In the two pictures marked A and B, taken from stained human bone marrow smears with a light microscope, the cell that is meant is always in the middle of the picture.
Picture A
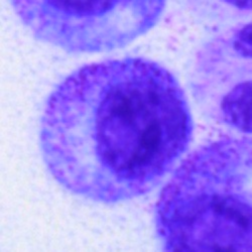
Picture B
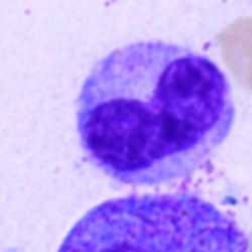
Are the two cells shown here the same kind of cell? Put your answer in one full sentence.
No; the cell in picture A is a myelocyte, while the one in picture B is a metamyelocyte.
